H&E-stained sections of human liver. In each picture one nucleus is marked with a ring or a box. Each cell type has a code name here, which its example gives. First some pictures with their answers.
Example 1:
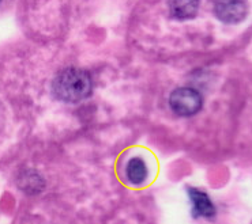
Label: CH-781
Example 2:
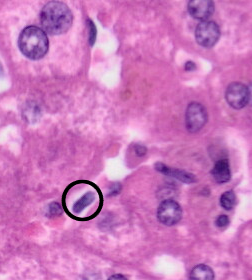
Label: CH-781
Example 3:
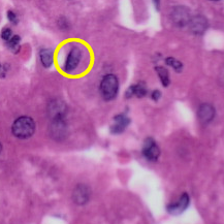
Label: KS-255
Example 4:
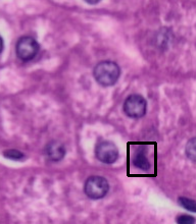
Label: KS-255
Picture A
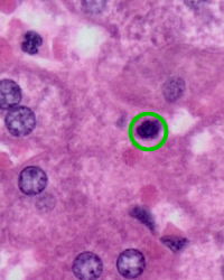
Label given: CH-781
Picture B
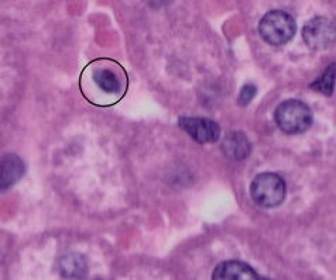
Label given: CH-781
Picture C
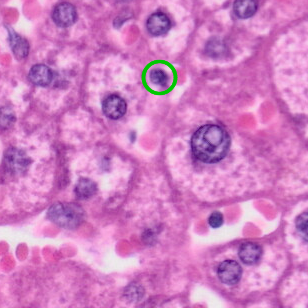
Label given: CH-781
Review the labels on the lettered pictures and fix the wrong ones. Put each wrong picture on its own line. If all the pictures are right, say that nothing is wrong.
All labels are correct.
